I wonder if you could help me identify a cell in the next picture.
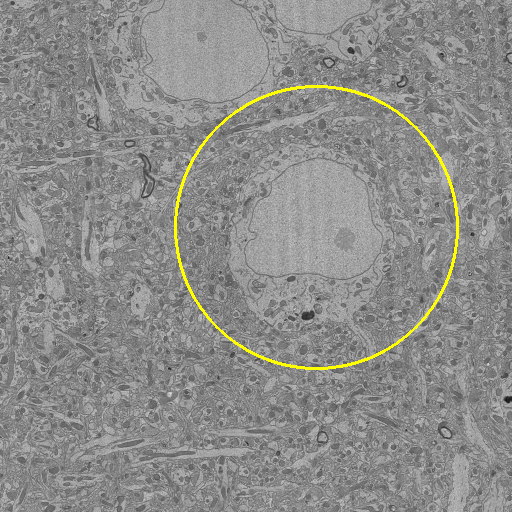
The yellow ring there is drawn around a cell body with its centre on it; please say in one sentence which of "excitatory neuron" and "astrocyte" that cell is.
The yellow ring is centred on an excitatory neuron.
